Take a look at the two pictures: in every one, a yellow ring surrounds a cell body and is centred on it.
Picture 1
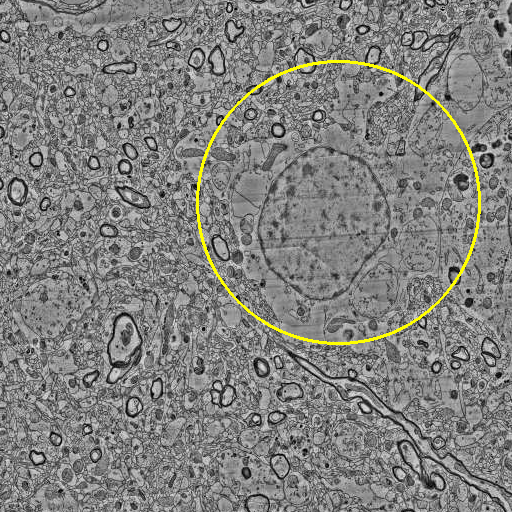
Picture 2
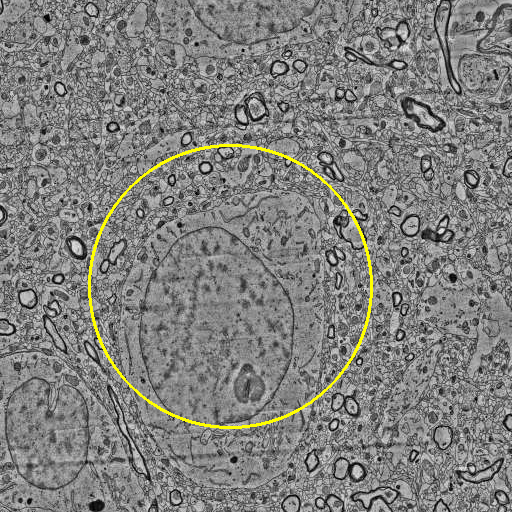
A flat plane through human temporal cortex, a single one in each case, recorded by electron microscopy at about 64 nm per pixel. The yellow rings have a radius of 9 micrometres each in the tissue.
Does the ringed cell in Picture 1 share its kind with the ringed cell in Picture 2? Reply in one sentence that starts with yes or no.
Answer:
No, the two centred cells, one per picture, are of two kinds.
